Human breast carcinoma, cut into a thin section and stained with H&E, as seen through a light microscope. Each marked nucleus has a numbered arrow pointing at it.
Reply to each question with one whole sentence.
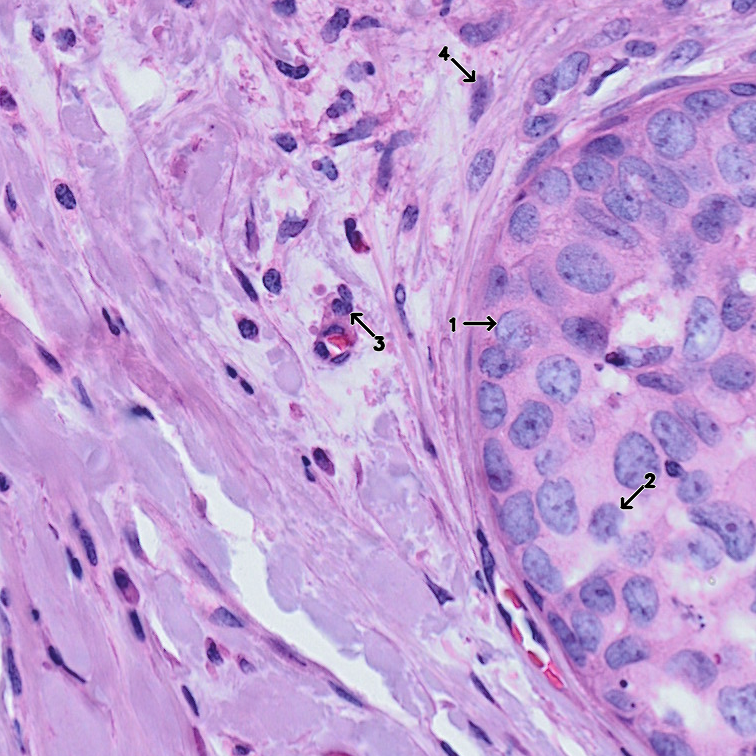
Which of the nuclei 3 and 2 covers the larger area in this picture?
Of the two, number 2 is bigger and takes up about 4 times the area of number 3.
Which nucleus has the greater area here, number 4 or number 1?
The larger nucleus is 1, at roughly 1.5 times the area of 4.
